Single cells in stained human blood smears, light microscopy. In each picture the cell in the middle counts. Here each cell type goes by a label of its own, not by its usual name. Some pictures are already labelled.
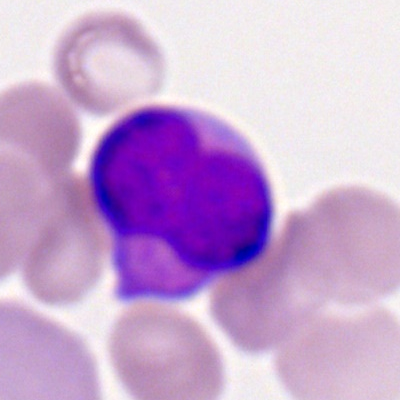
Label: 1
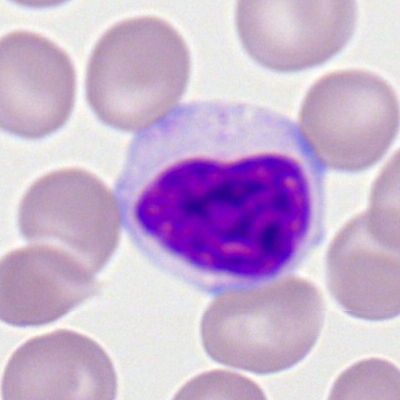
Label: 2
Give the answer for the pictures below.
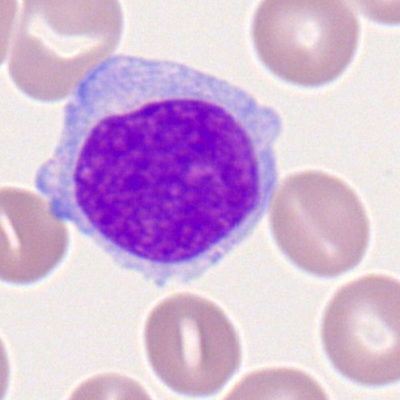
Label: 1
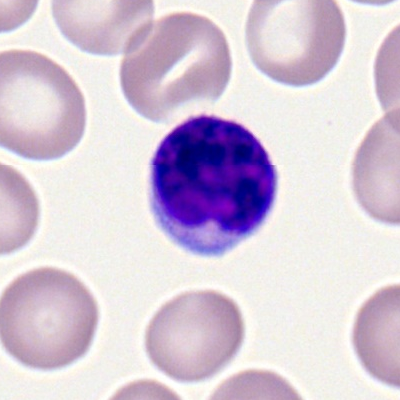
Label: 2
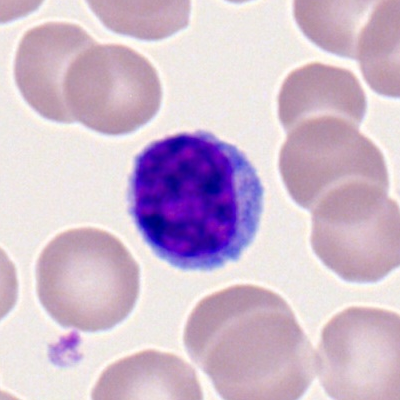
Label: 2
